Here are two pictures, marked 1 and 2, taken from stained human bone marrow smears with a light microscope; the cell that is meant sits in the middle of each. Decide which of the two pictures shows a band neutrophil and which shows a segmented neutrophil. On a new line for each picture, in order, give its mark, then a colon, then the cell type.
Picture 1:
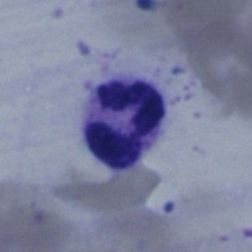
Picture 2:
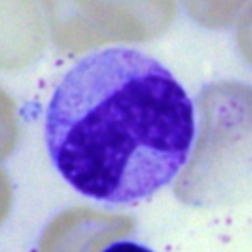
1: segmented neutrophil
2: band neutrophil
